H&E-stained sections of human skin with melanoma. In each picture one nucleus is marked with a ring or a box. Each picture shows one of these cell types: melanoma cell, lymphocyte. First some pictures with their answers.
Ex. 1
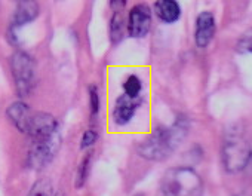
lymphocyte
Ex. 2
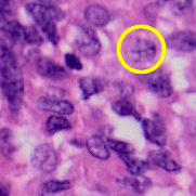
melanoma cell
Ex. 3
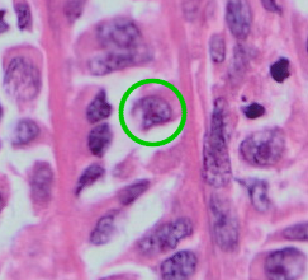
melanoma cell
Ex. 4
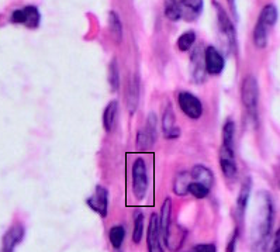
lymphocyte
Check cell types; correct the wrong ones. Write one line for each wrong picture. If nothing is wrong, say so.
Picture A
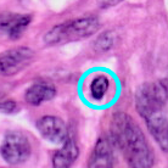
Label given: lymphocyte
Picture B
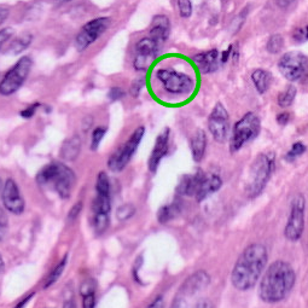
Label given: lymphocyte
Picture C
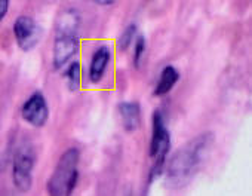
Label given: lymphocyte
B: melanoma cell, not lymphocyte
